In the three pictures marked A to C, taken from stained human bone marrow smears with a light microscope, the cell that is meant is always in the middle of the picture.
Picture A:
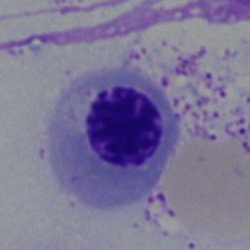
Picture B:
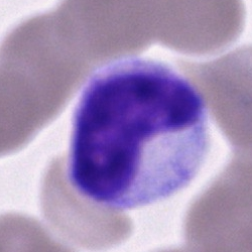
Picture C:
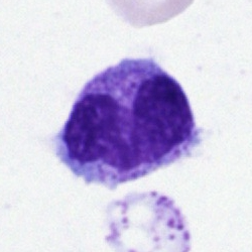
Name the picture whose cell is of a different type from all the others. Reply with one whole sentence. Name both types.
Unlike the rest, which show metamyelocytes, picture A shows an erythroblast.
